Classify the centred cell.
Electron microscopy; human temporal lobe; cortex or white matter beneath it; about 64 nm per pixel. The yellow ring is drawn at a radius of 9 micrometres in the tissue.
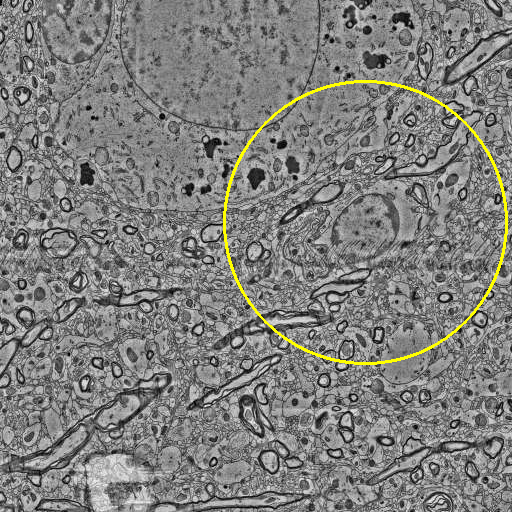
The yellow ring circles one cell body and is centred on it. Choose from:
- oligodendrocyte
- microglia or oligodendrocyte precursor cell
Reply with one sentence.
The ring is centred on a microglial cell or oligodendrocyte precursor cell.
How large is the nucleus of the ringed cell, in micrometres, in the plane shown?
The nucleus appears roughly 5 by 4 micrometres in this plane.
